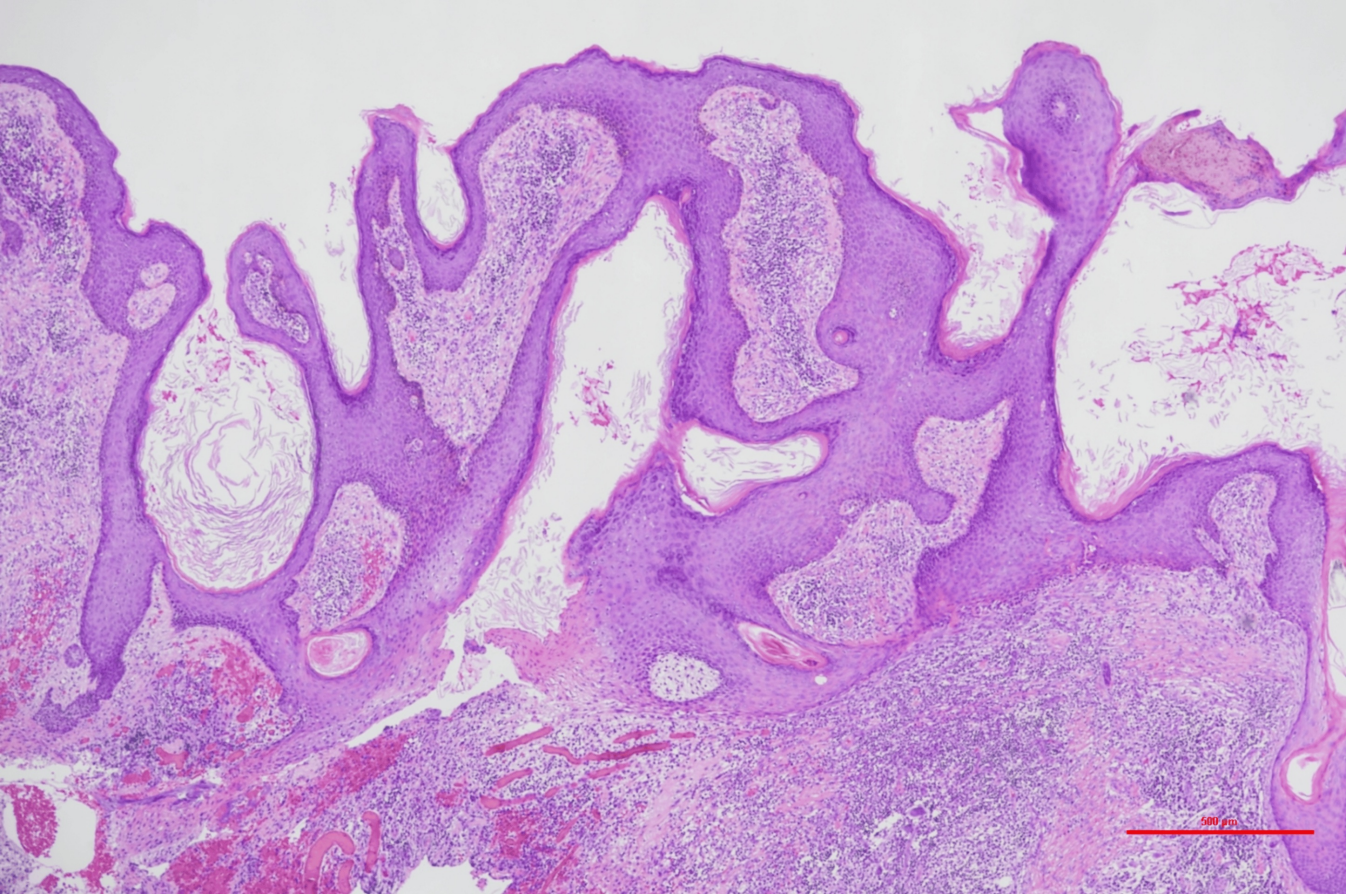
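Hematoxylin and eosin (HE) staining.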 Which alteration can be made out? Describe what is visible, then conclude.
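The squamous epithelium is markedly thickened. The surface is thrown into finger-like folds with stromal cores. So: Papillomatous epidermal hyperplasia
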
